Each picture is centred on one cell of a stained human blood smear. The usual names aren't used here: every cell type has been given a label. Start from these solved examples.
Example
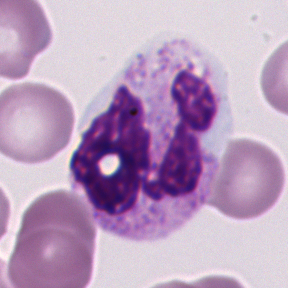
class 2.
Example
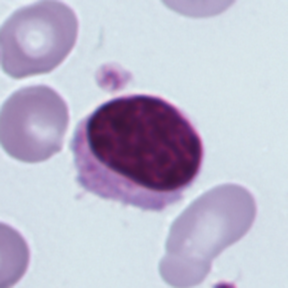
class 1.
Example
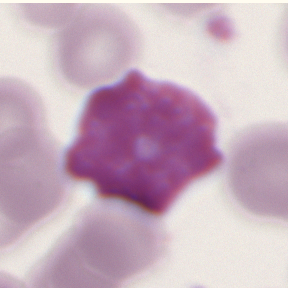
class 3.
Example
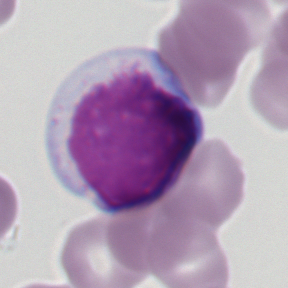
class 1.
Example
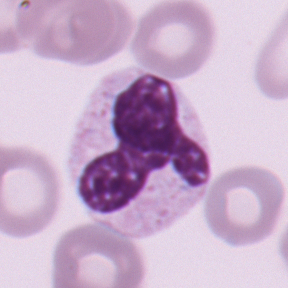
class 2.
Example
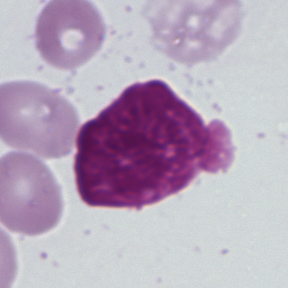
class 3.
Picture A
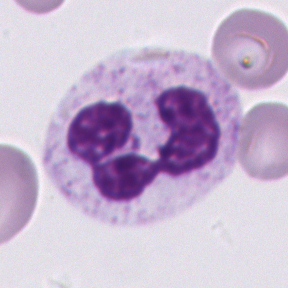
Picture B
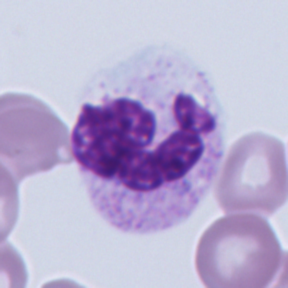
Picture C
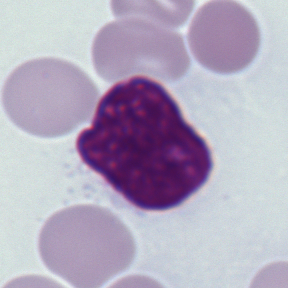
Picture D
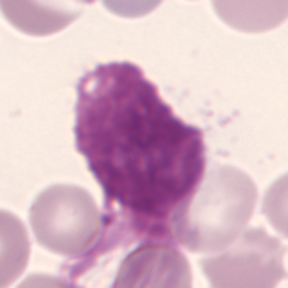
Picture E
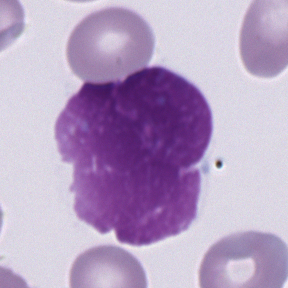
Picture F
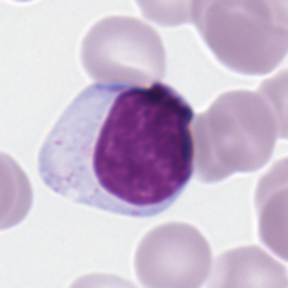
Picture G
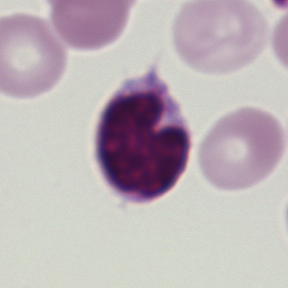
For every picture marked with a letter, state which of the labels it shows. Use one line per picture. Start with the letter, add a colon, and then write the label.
A: class 2.
B: class 2.
C: class 3.
D: class 3.
E: class 3.
F: class 1.
G: class 1.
